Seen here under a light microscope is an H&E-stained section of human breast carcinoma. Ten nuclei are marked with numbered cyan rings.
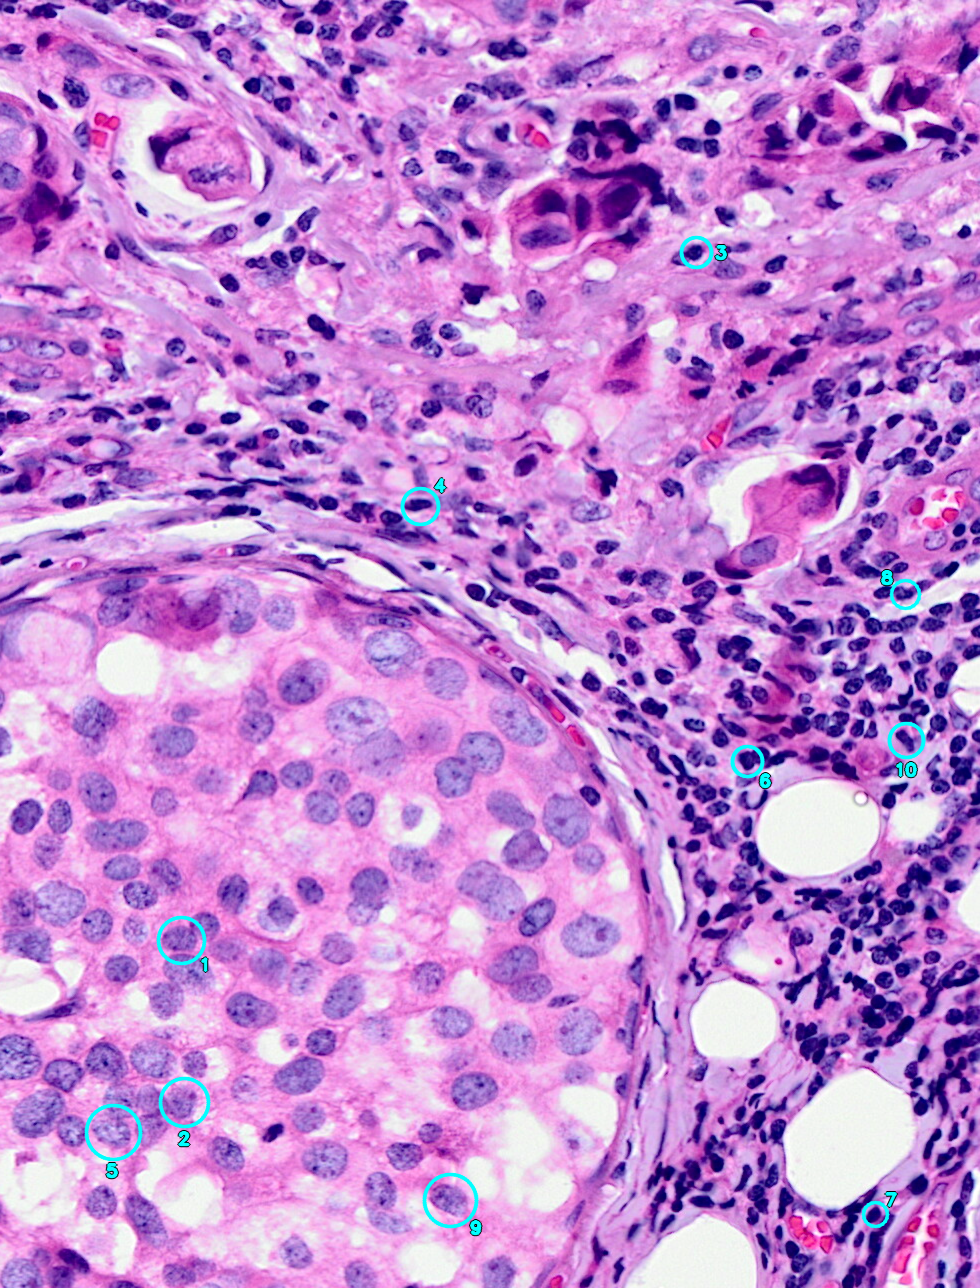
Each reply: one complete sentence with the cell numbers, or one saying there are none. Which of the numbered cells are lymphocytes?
The cells marked by the numbers 3, 4, 6, 7, 8 and 10 are lymphocytes.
